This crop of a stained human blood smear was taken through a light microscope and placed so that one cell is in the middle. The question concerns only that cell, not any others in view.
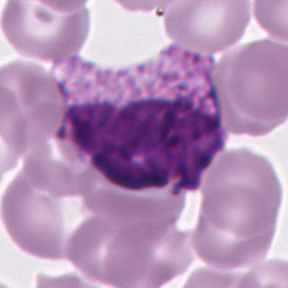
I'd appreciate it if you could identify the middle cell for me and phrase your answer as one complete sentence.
The cell in the middle of the field of view is a basophil.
